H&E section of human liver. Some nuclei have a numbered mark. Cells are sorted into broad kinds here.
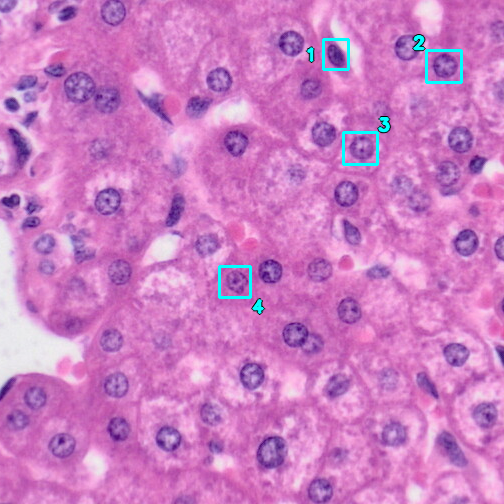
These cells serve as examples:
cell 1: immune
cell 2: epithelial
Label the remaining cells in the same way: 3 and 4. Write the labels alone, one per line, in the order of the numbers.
epithelial
epithelial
